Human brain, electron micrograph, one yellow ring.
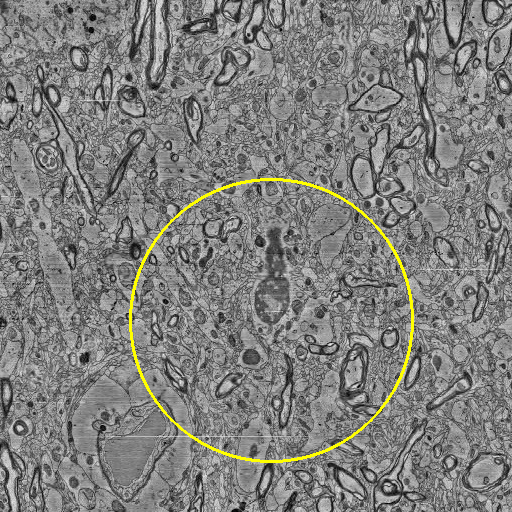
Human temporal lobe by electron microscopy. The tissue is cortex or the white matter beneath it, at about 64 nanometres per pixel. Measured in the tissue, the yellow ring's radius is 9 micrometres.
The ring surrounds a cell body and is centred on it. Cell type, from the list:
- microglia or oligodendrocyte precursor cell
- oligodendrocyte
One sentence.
The yellow ring circles a microglial cell or oligodendrocyte precursor cell.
